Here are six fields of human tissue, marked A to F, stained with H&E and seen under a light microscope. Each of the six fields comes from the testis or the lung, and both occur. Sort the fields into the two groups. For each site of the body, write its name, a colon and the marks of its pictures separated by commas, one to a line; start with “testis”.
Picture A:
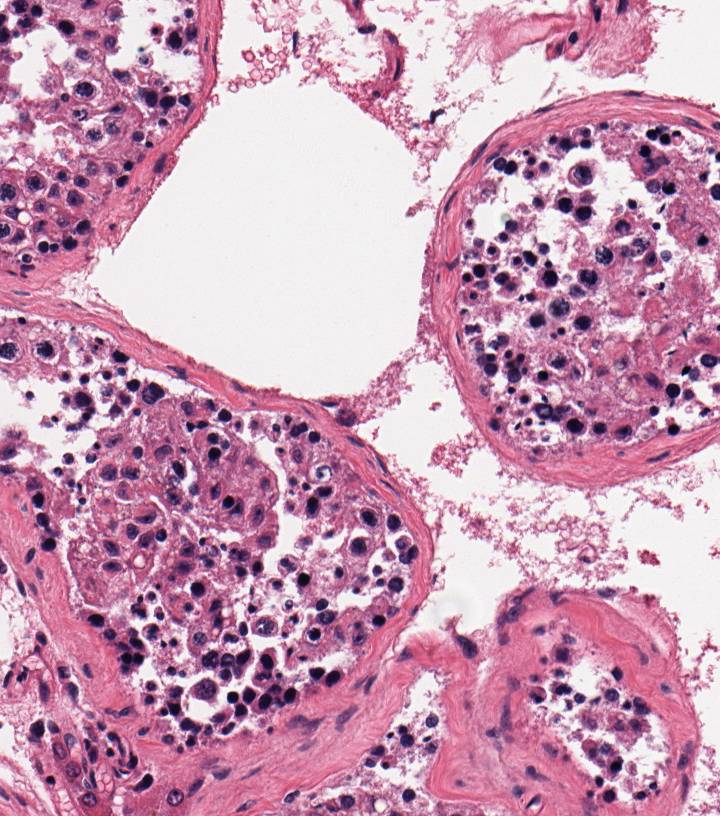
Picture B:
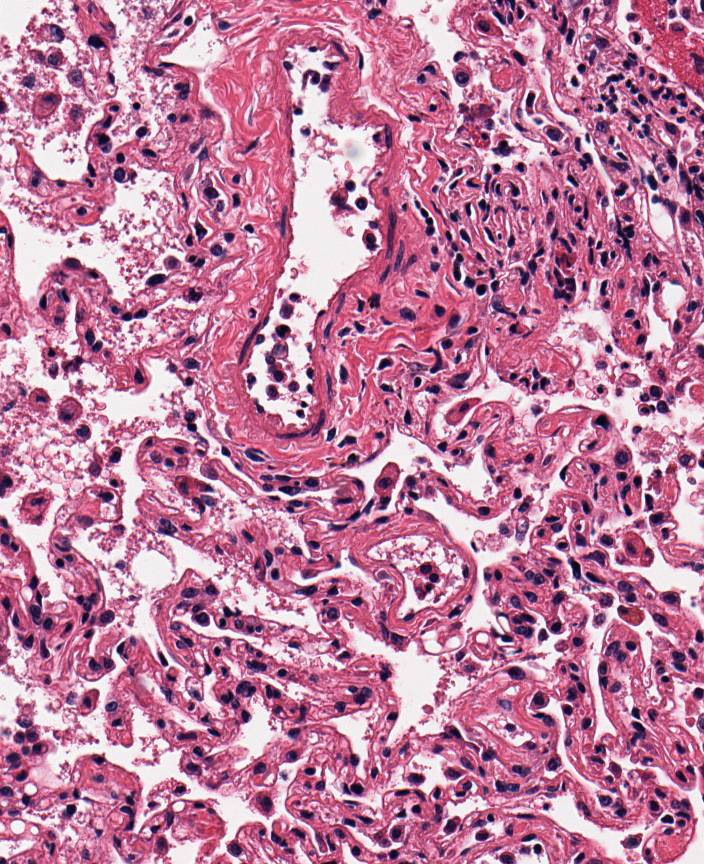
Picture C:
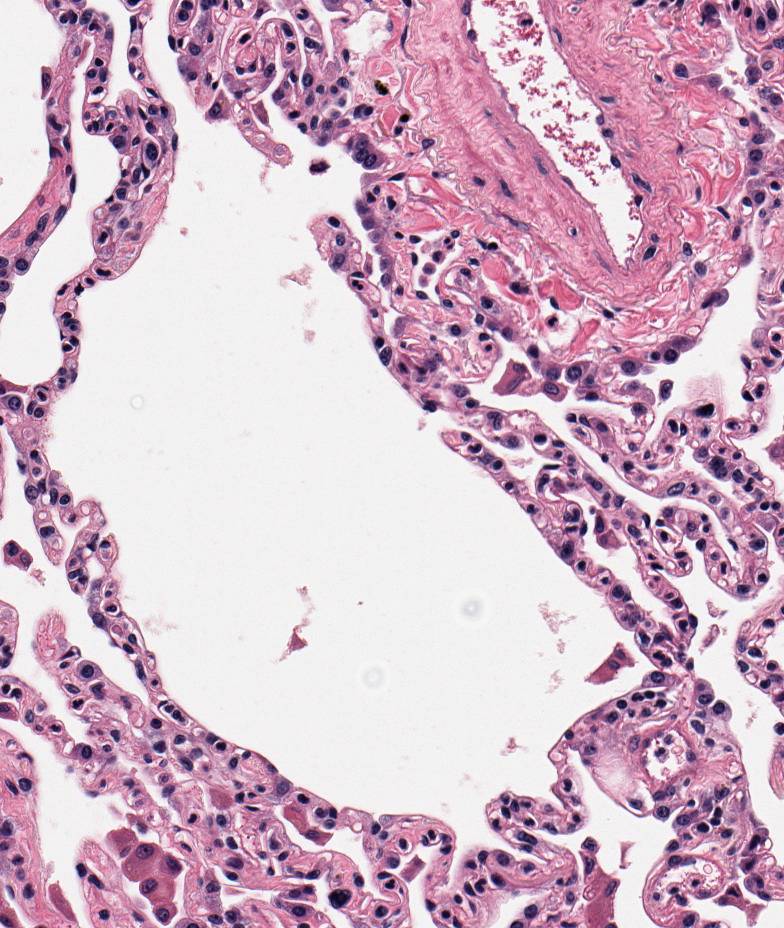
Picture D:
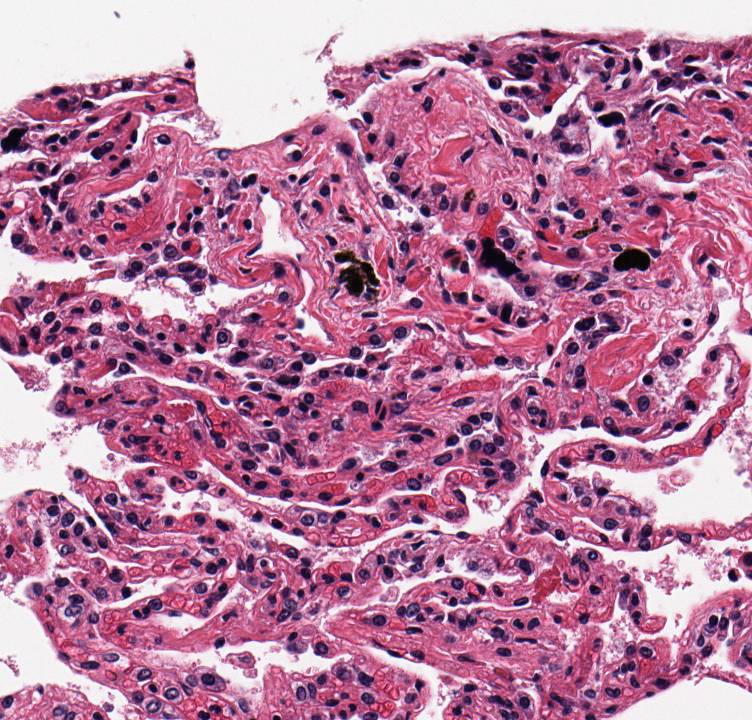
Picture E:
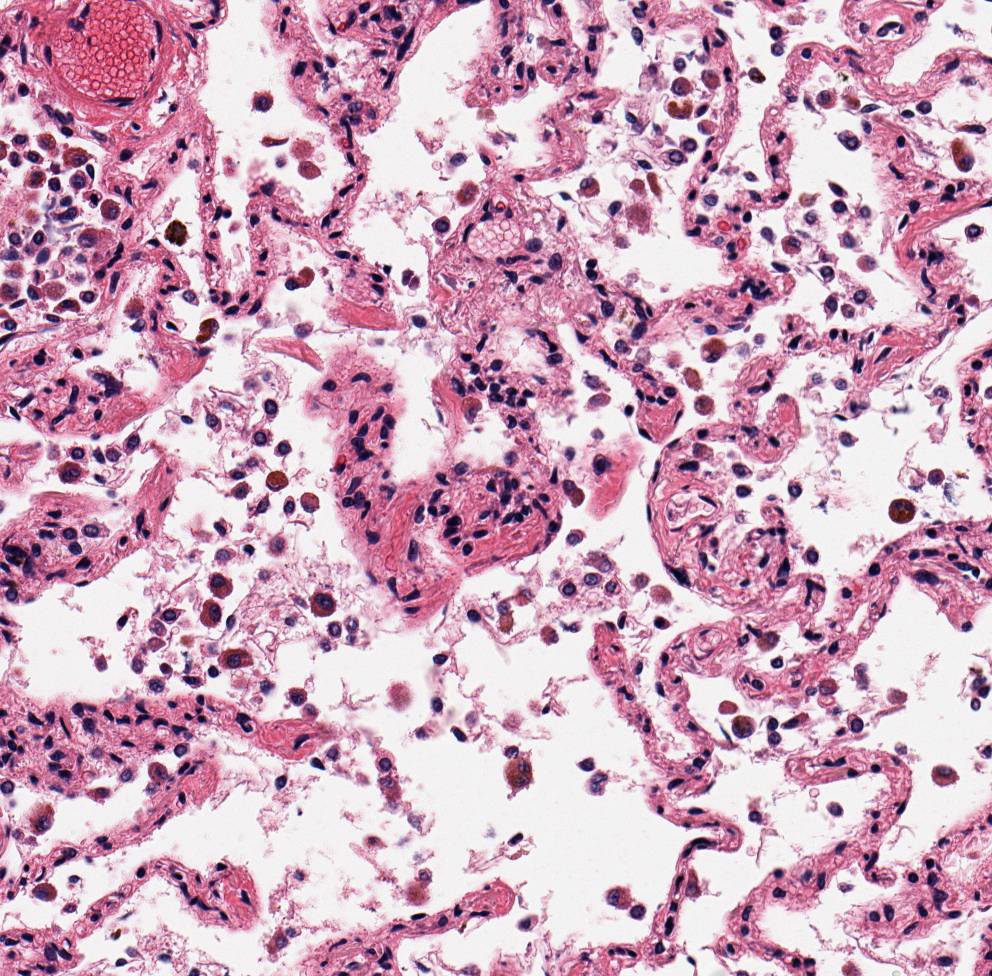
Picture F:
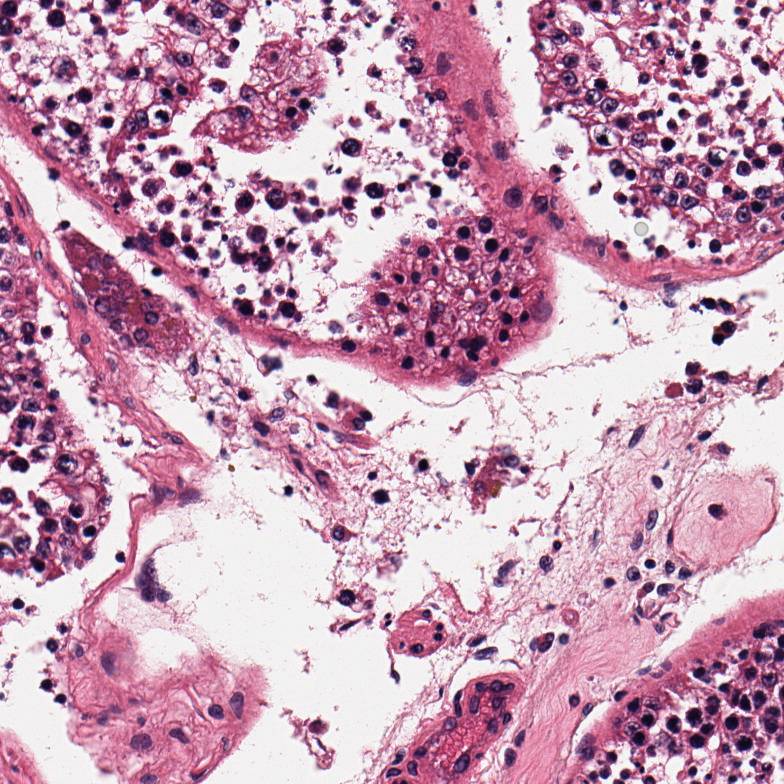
testis: A, F
lung: B, C, D, E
